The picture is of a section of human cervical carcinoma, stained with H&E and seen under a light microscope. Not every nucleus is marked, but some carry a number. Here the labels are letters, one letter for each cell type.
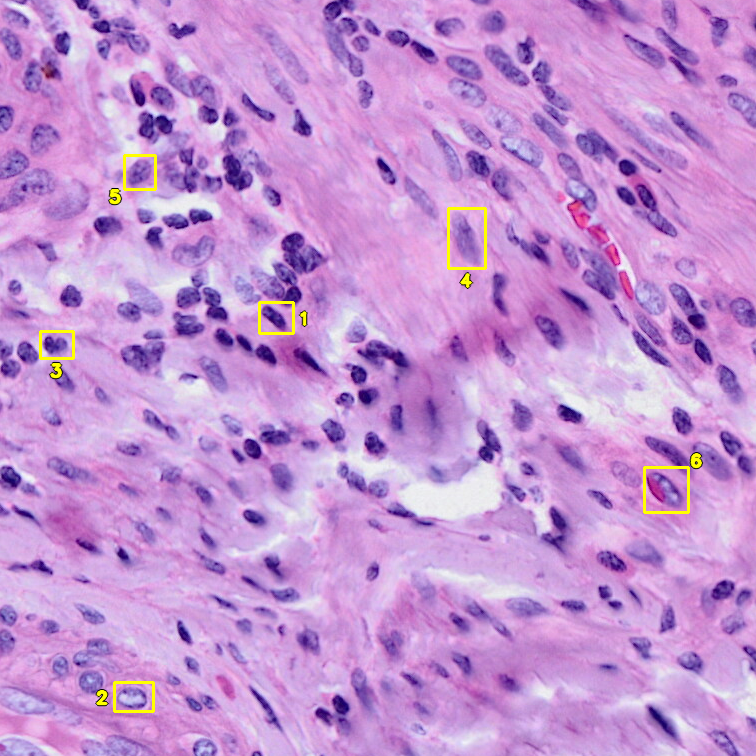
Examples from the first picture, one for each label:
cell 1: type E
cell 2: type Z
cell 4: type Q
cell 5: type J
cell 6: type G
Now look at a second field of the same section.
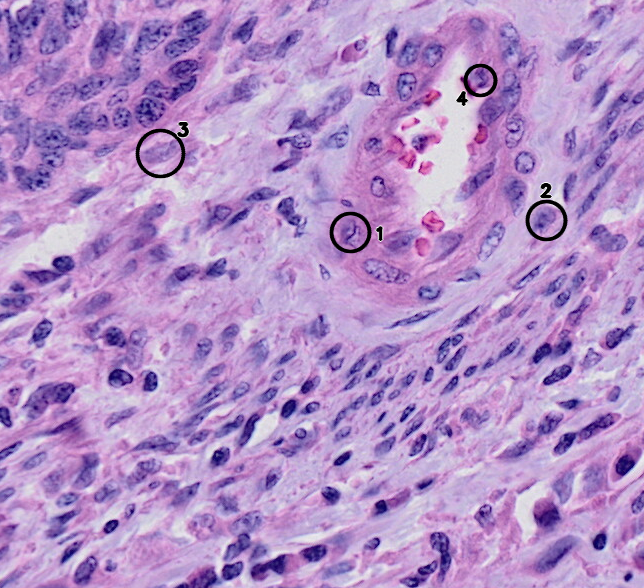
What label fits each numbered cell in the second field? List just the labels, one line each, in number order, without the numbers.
type Z
type J
type Q
type G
